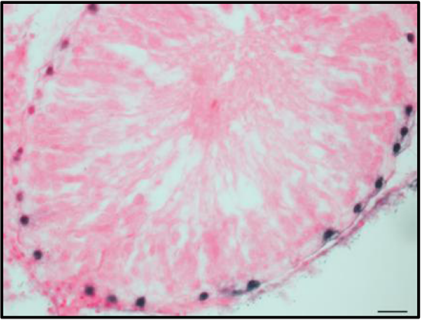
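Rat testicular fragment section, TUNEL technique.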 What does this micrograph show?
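A cross section of a seminiferous tubule fills most of the view, its germ cells stained pink and arranged in layers from the outer wall toward a central lumen. Toward the centre the cells are elongated and pale, giving a radiating, streaked appearance. Along the outer rim of the tubule, close to its boundary wall, lies a row of small, rounded, dark blue to black stained nuclei spaced around the circumference. Few such dark nuclei appear in the inner layers. A thin strip of interstitial tissue is visible at the edges of the field outside the tubule.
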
